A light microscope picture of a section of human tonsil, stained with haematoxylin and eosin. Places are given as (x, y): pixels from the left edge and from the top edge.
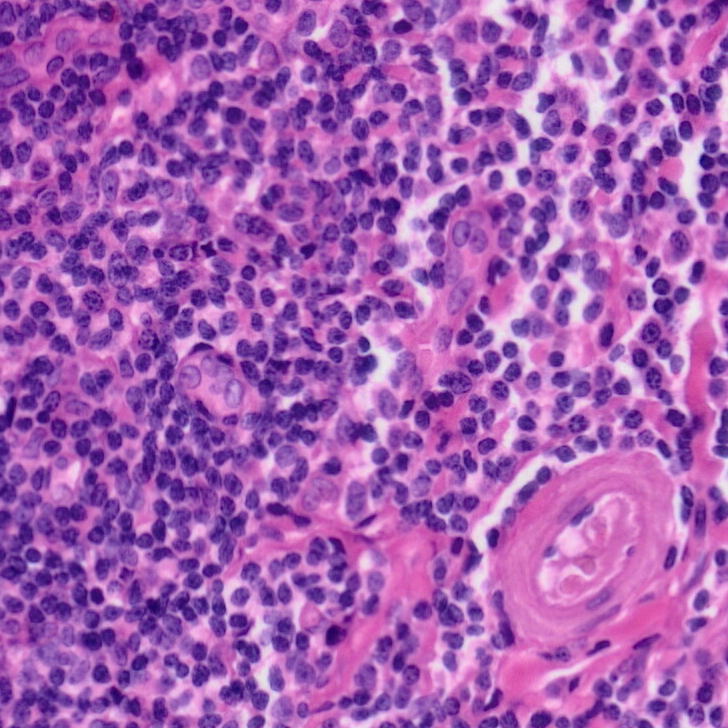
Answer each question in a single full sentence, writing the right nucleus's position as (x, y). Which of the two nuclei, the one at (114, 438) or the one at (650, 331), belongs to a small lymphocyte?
The nucleus whose position is (114, 438) belongs to a small lymphocyte.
